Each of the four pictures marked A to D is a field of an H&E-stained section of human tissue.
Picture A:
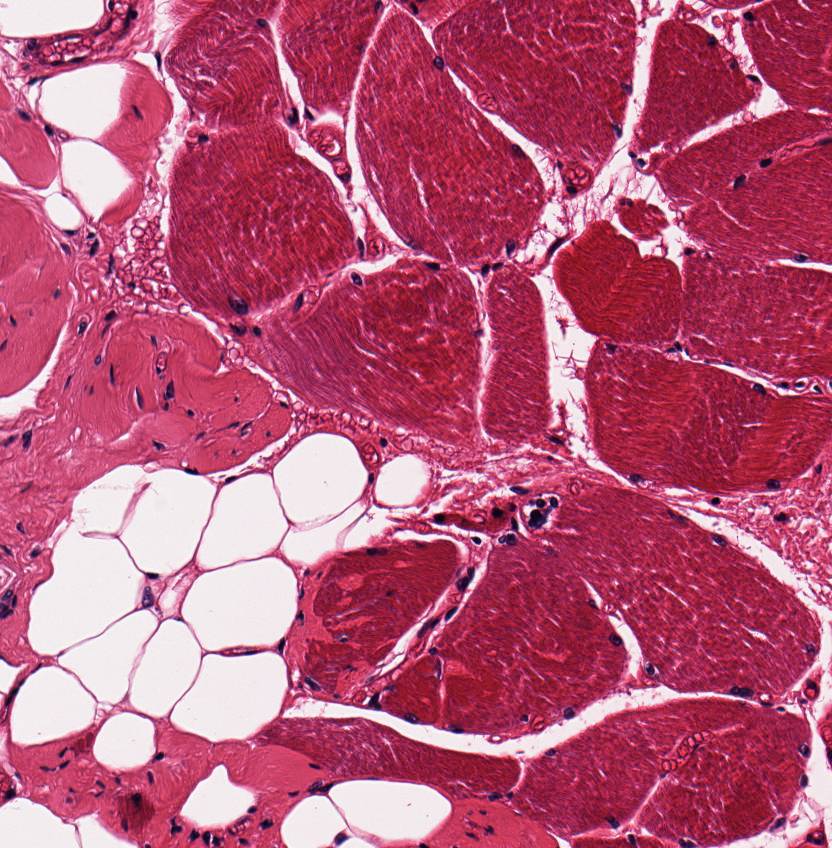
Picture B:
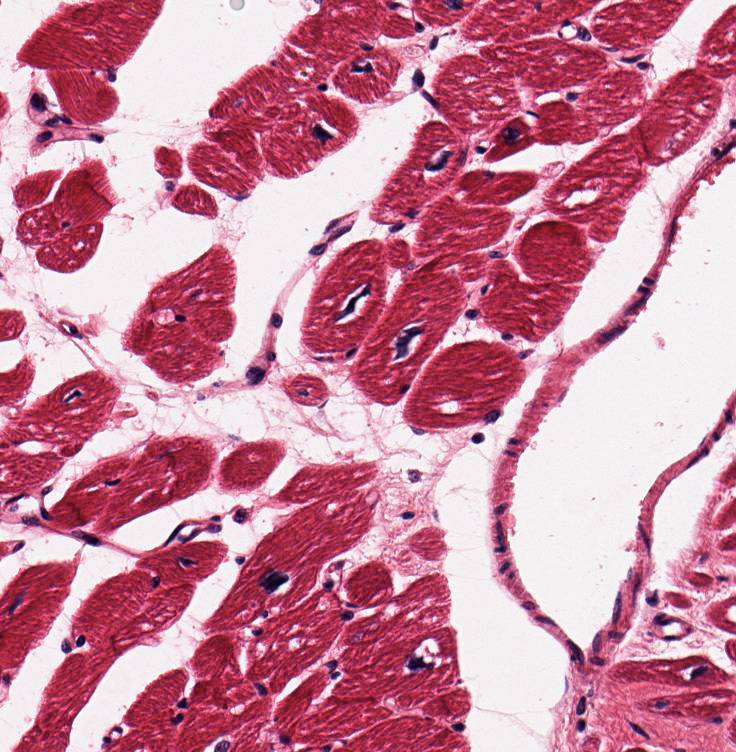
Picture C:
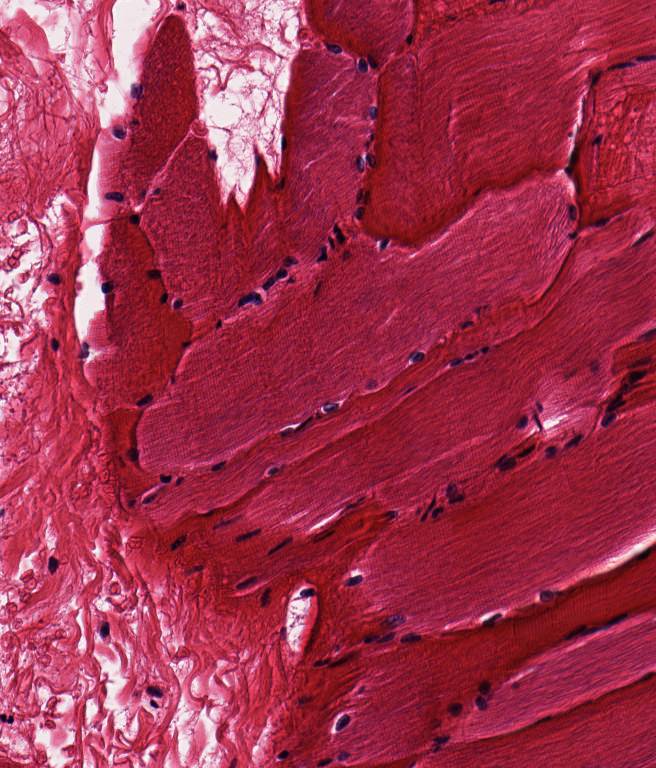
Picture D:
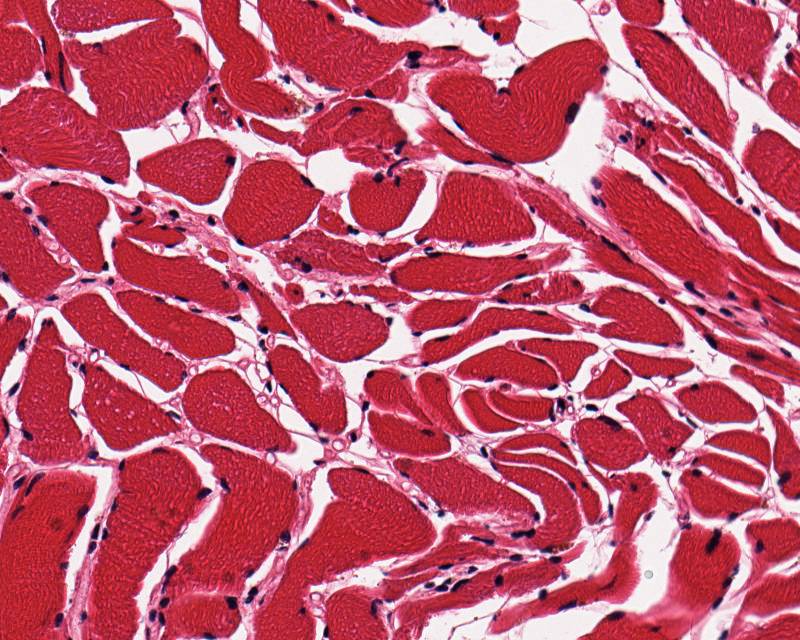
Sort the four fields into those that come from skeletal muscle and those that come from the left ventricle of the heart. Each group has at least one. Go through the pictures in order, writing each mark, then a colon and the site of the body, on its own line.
A: skeletal muscle
B: left ventricle of the heart
C: skeletal muscle
D: skeletal muscle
